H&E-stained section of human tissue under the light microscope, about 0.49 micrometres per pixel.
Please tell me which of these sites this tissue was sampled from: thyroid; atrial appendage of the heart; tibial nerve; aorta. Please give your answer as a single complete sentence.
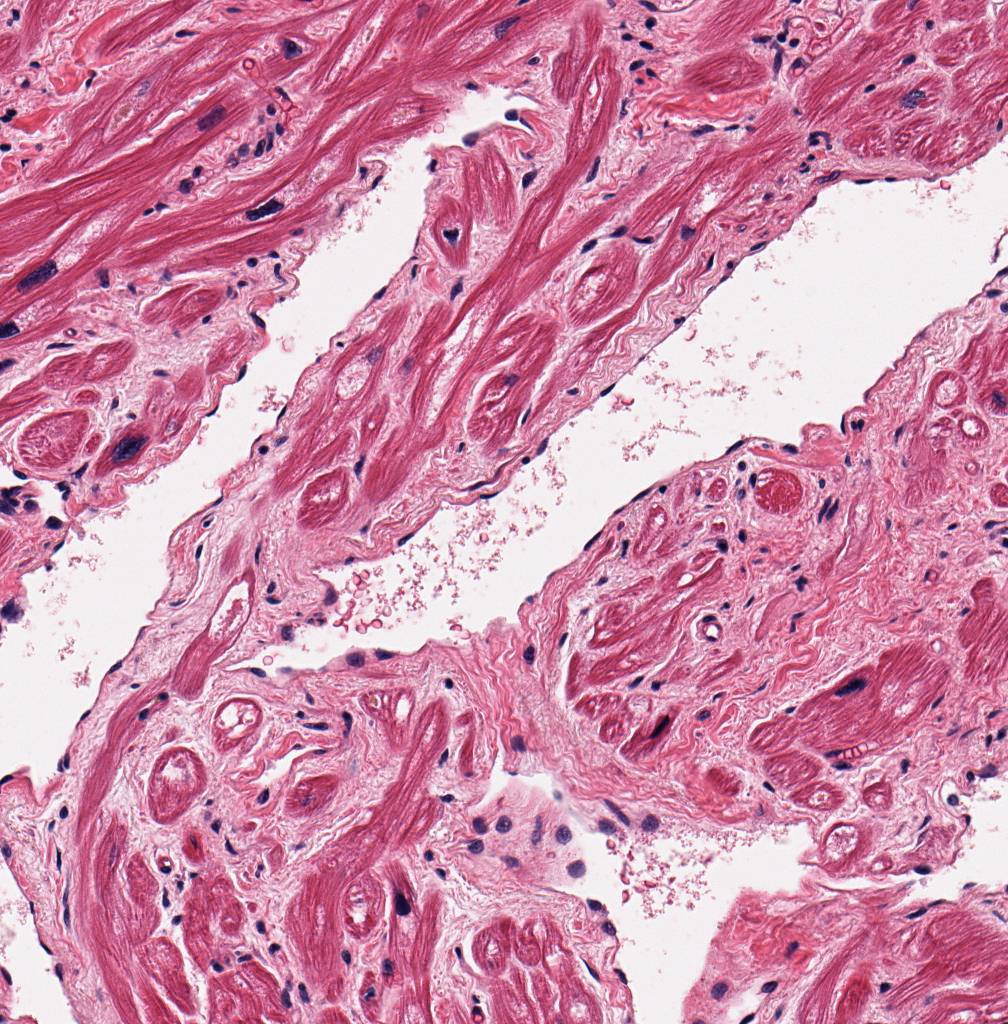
In this section is tissue sampled from the atrial appendage of the heart.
